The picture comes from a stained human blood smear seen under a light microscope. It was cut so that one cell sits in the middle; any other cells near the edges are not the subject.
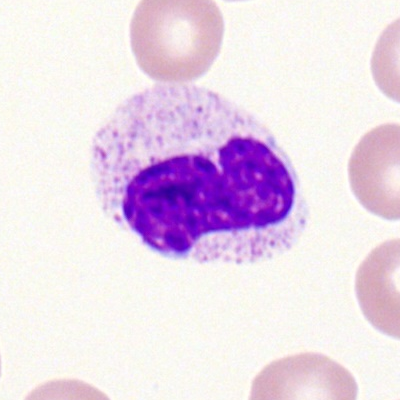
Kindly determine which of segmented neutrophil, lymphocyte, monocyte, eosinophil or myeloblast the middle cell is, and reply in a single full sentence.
This crop is built around a segmented neutrophil at its centre.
